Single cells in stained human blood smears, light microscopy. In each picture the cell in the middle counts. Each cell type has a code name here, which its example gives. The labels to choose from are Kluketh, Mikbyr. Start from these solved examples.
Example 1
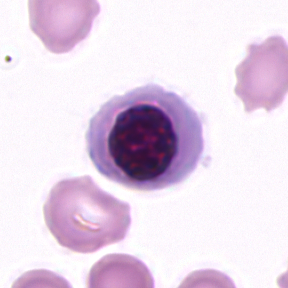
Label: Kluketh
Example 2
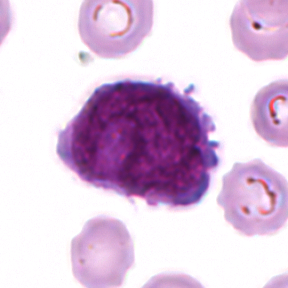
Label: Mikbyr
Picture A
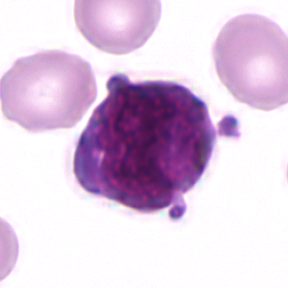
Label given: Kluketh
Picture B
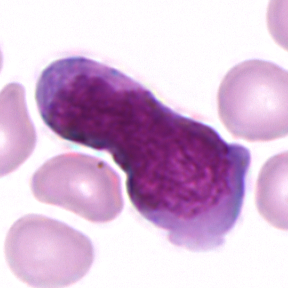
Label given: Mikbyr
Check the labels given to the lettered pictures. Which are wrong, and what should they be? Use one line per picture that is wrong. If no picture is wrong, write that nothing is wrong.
Wrong: A (Kluketh); correct: Mikbyr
